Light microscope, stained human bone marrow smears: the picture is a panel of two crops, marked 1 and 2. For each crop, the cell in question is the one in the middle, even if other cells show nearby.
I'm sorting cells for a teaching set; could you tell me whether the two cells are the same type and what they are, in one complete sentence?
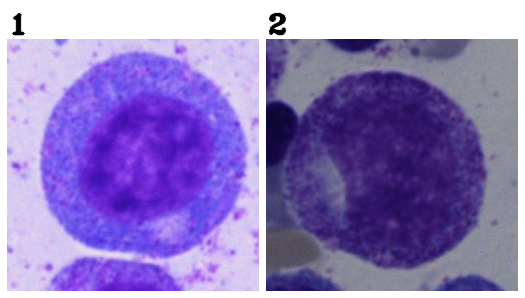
Yes, both crops show promyelocytes as the central cells.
